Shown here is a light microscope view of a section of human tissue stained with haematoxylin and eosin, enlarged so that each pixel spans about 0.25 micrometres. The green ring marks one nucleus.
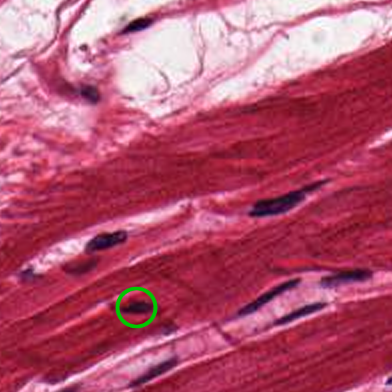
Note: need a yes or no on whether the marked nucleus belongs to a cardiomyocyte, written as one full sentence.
Yes, the nucleus that carries the mark belongs to a cardiomyocyte.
